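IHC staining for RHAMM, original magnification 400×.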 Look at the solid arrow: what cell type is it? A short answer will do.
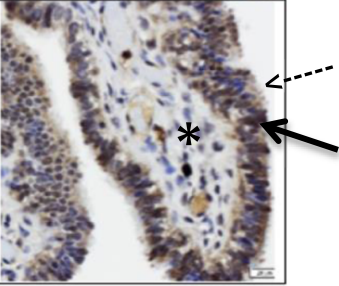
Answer: Secretory.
